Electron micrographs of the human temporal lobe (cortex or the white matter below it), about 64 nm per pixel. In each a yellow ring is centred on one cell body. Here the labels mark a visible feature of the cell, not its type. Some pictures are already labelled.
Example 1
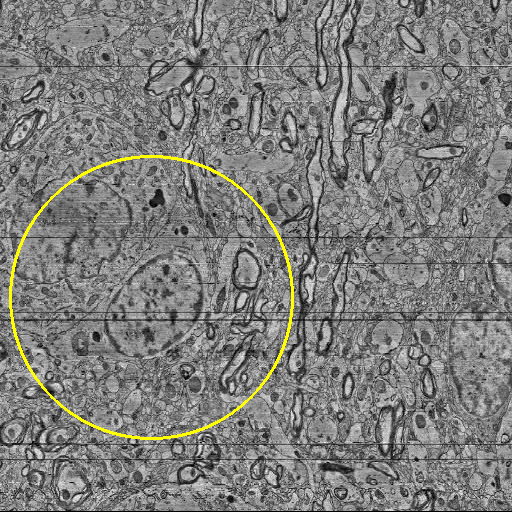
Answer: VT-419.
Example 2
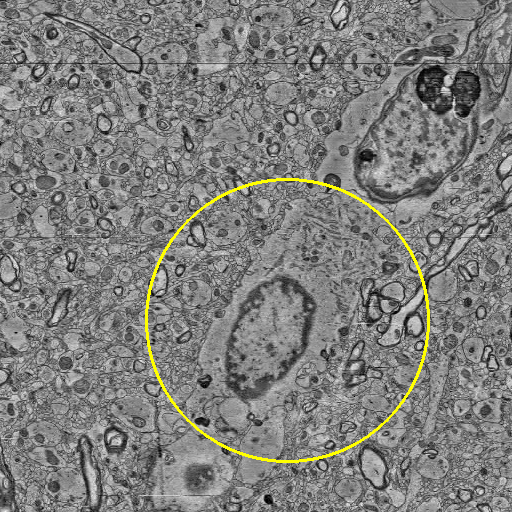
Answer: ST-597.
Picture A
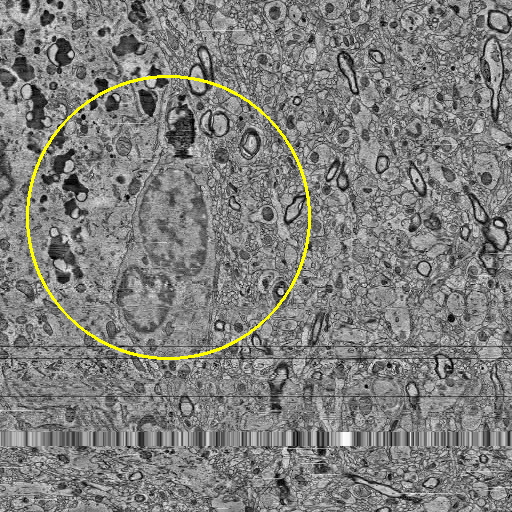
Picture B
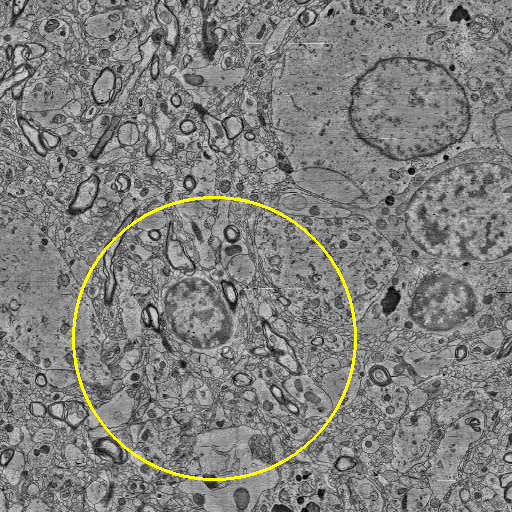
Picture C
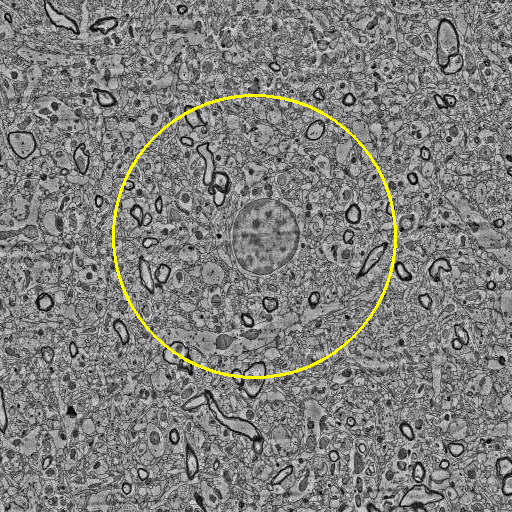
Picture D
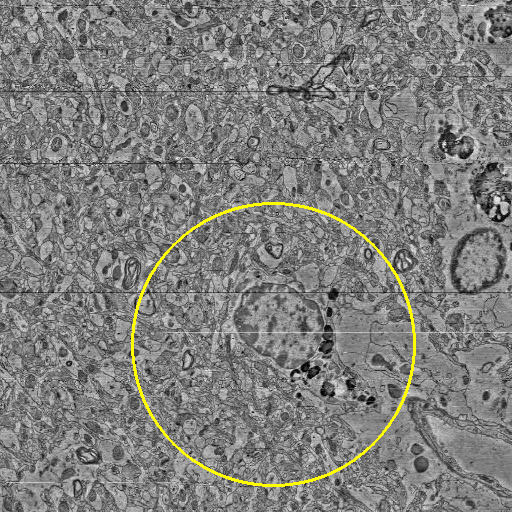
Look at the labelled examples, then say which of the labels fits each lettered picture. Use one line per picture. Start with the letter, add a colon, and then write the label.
A: ST-597.
B: VT-419.
C: VT-419.
D: VT-419.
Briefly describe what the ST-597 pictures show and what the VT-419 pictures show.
In ST-597: clearly elongated nuclei. In VT-419: round or nearly round nuclei.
